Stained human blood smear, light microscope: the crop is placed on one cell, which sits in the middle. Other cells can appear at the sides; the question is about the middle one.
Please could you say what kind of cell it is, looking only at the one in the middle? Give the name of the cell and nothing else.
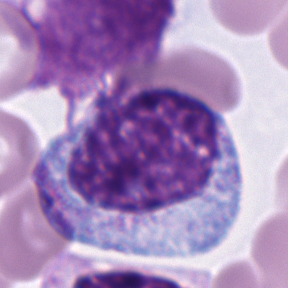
promyelocyte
